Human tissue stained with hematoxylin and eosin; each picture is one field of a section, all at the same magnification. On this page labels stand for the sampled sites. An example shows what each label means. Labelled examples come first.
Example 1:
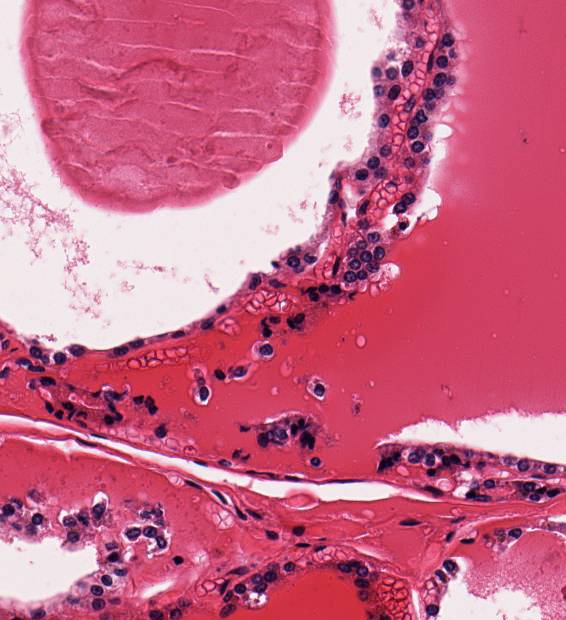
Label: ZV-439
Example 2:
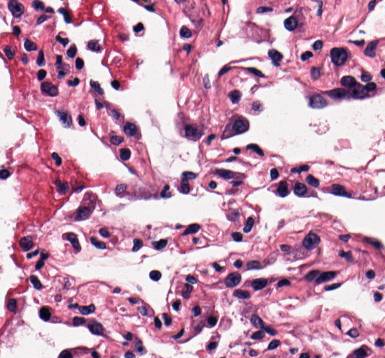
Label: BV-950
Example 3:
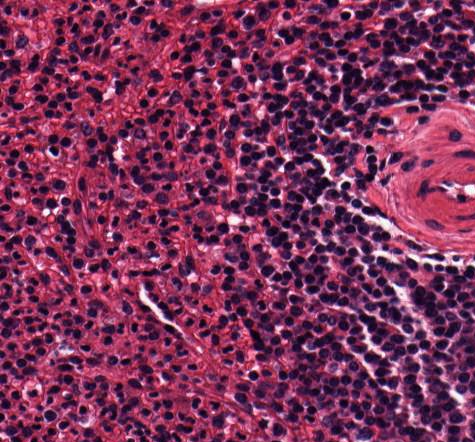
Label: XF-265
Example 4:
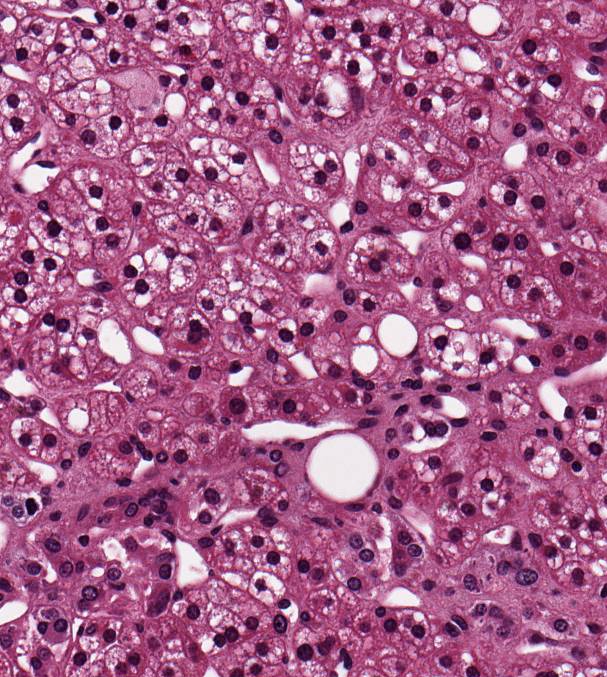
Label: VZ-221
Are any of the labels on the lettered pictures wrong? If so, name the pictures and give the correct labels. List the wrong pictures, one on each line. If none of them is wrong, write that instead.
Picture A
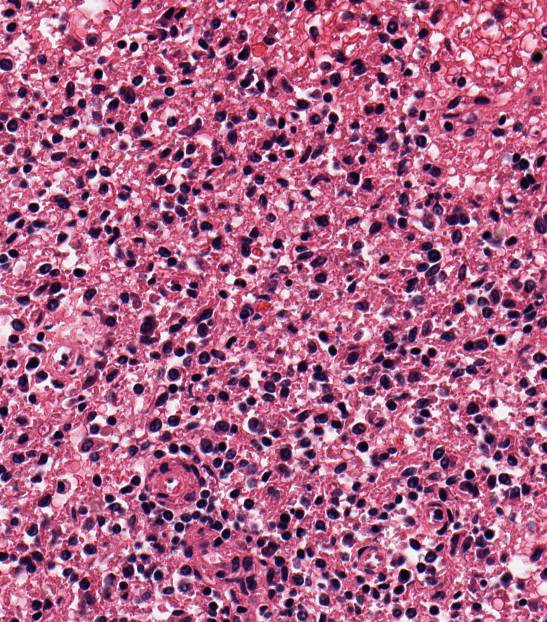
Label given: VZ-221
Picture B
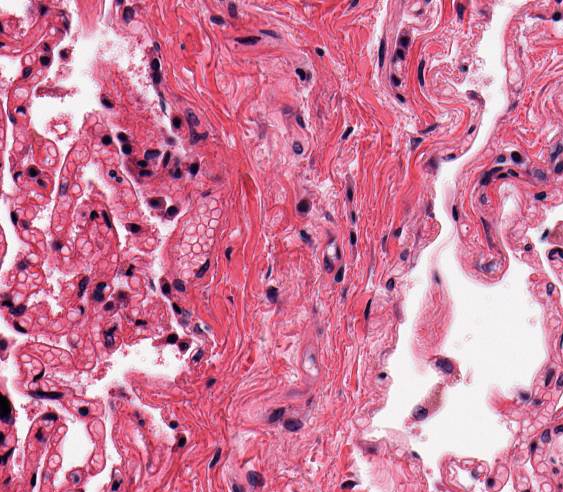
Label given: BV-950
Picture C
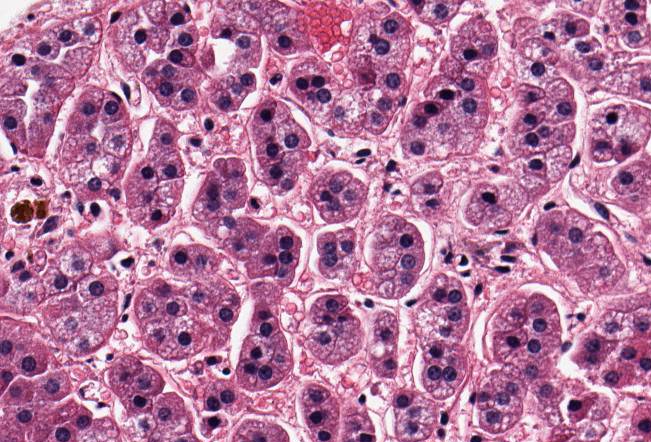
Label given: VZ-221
A: not VZ-221 but XF-265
